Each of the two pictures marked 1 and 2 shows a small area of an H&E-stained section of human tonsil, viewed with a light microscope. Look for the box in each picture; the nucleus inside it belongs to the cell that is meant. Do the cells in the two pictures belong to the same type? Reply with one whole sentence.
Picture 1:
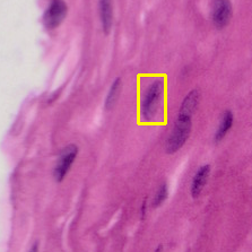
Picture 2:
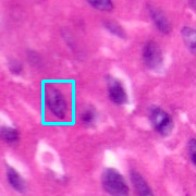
Yes, both cells are squamous epithelial cells.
